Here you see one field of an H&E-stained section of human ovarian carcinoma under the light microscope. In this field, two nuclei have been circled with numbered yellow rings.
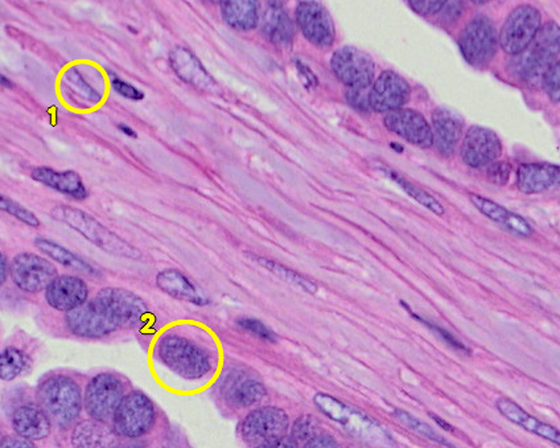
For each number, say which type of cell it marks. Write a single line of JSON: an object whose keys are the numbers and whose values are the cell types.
{"1": "fibroblast", "2": "carcinoma cell"}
